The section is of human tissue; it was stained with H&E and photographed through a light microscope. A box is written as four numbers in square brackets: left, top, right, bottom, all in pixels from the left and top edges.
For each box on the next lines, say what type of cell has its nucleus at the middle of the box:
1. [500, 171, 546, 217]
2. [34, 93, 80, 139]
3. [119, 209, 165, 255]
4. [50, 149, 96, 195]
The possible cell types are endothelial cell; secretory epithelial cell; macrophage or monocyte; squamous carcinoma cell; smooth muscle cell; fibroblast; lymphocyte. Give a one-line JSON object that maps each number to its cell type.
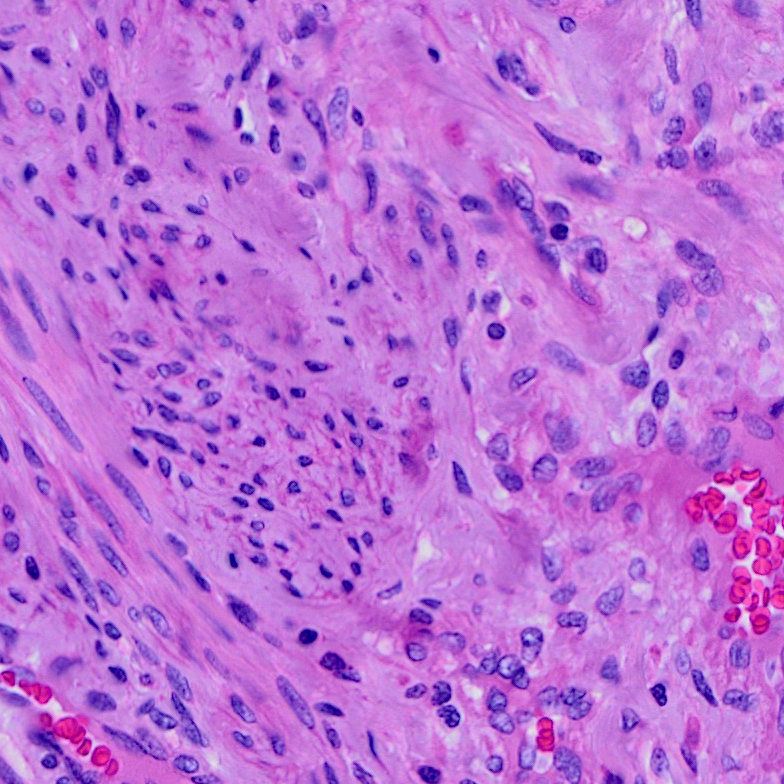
{"1": "endothelial cell", "2": "smooth muscle cell", "3": "smooth muscle cell", "4": "smooth muscle cell"}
